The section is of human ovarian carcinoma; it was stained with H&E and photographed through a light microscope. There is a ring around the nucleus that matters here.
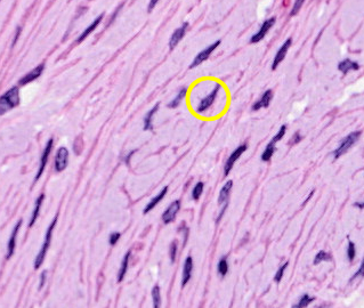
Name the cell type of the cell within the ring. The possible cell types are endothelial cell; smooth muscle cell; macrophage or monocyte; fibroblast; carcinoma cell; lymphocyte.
fibroblast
